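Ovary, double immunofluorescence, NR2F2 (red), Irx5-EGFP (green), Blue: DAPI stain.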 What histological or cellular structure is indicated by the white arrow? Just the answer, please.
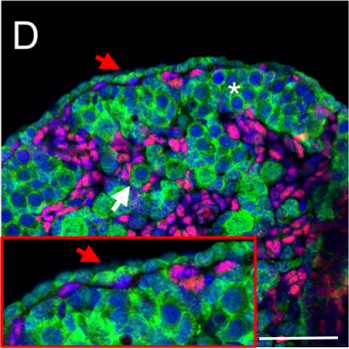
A: primordial follicle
